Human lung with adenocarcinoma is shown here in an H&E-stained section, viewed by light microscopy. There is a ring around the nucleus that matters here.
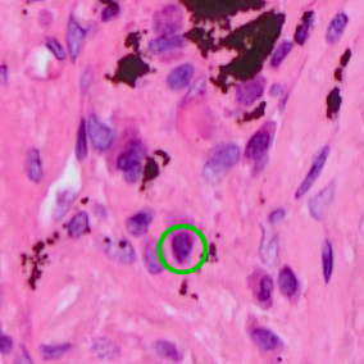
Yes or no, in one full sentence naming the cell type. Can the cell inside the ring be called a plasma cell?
Yes, a plasma cell is the identity of the cell inside the ring in this section.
